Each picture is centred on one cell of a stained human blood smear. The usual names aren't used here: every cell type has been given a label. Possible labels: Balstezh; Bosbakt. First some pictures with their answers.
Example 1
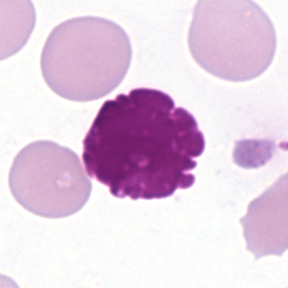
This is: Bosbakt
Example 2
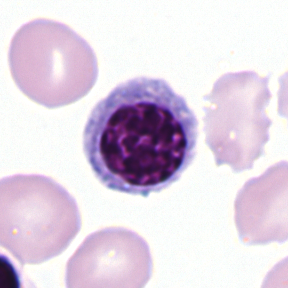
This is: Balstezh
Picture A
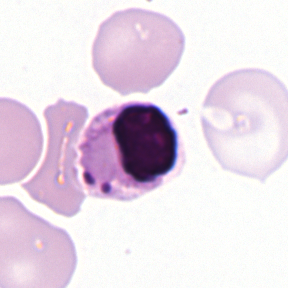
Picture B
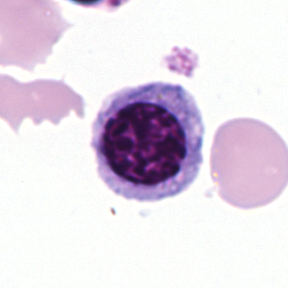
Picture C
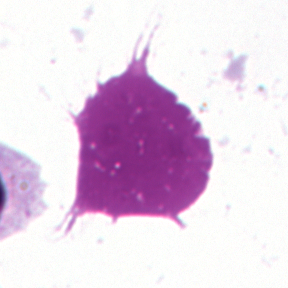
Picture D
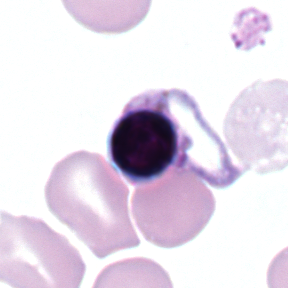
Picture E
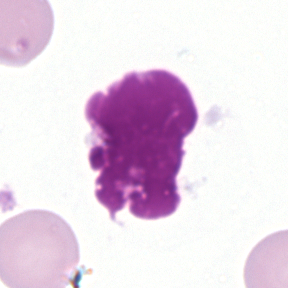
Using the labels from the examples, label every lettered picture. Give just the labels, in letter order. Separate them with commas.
Balstezh, Balstezh, Bosbakt, Balstezh, Bosbakt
